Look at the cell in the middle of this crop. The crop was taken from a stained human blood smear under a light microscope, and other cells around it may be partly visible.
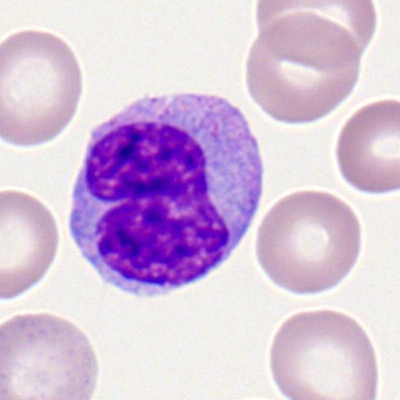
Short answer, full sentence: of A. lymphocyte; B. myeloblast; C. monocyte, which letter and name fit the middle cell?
The cell right in the middle is a monocyte, so option C is the one.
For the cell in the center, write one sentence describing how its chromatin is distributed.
Here the nuclear chromatin is coarsely clumped.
